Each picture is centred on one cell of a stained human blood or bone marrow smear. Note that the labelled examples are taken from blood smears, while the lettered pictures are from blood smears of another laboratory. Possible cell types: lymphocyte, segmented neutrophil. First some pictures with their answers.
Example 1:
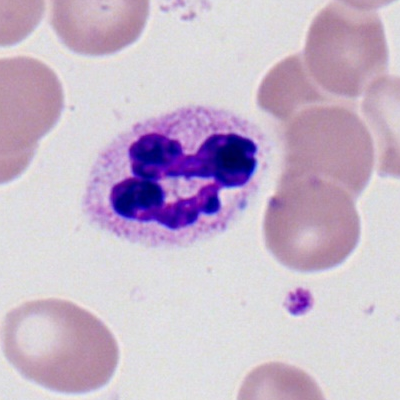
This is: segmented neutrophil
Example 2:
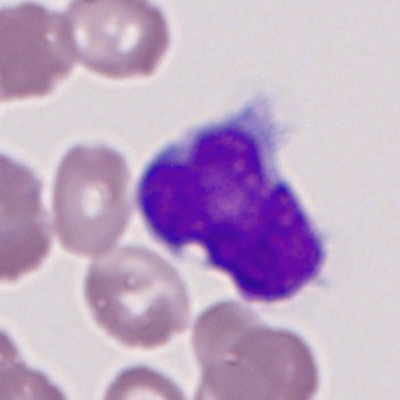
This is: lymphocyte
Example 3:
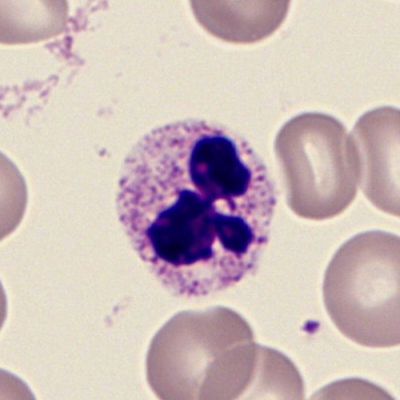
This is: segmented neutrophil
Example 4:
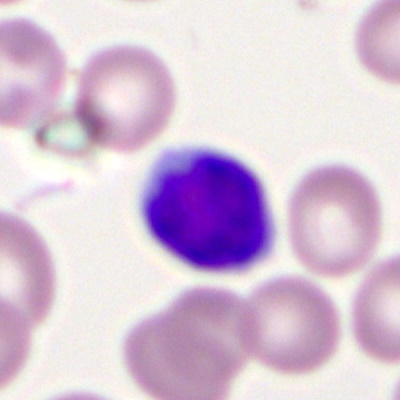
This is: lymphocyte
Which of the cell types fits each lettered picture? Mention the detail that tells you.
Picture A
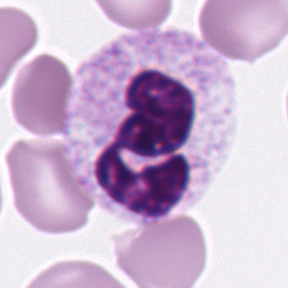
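Label: segmented neutrophil. The cytoplasm is plentiful and pale pink.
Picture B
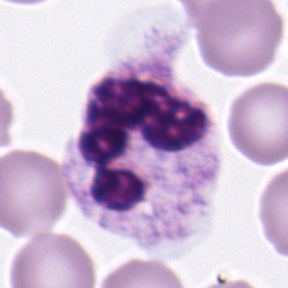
Label: segmented neutrophil. The cytoplasm is abundant and pale pinkish-lilac.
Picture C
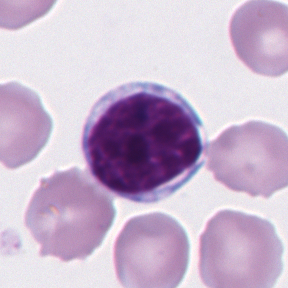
Label: lymphocyte. The cytoplasm forms only a thin rim around the nucleus.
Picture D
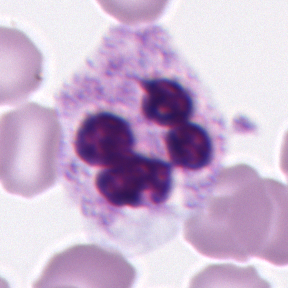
Label: segmented neutrophil. The nuclear lobes sit in a ring around a small central patch of cytoplasm.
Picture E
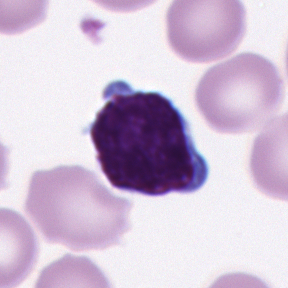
Label: lymphocyte. The nucleus is a single unlobed mass with a slightly angular outline.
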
